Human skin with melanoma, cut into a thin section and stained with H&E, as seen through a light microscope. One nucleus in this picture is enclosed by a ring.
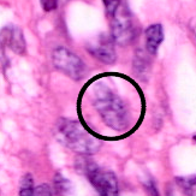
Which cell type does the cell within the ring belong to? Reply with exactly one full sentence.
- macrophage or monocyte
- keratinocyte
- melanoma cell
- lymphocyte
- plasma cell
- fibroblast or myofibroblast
By cell type, the cell within the ring is a melanoma cell.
